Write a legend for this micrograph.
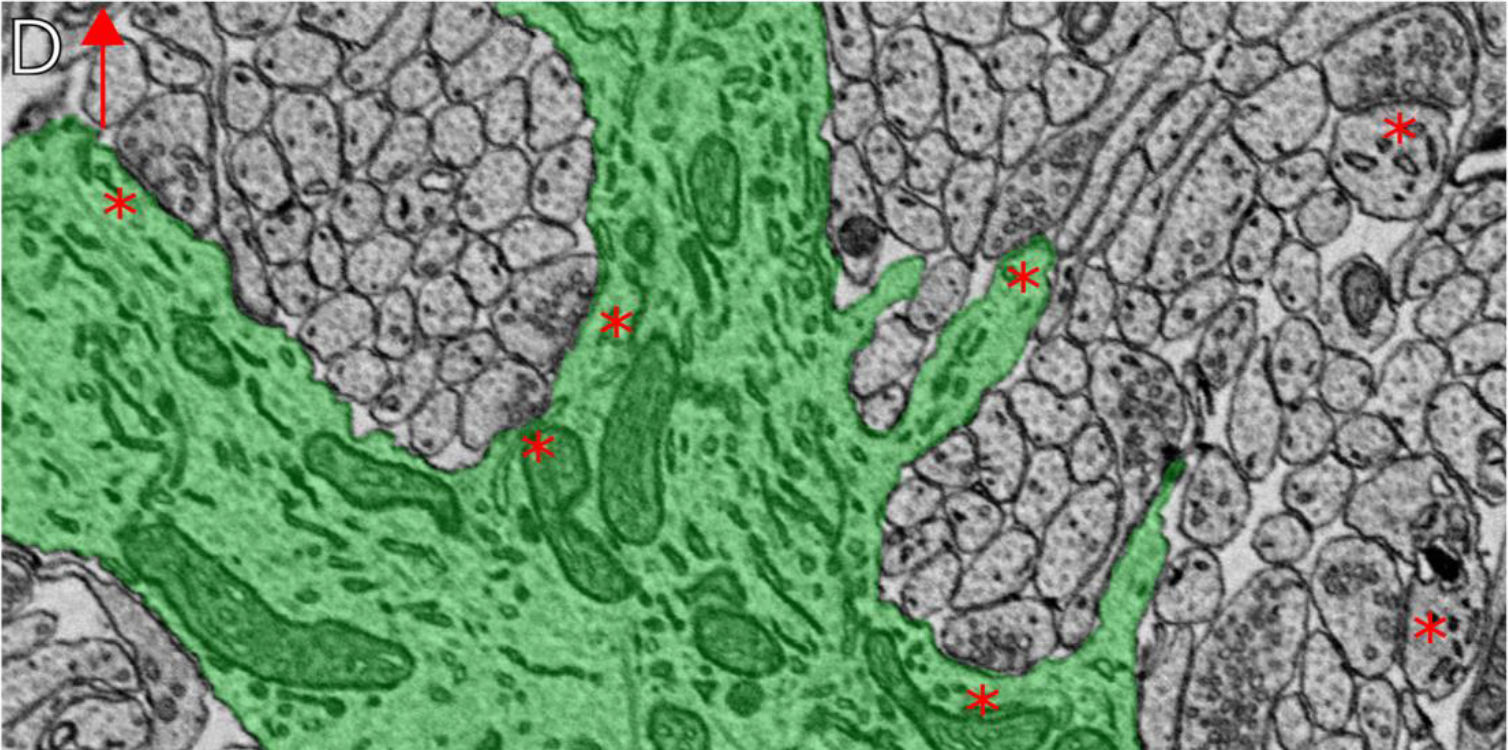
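The dendrite is broad and branching, its cytoplasm packed with elongated mitochondria and many tubular membrane profiles aligned along its length, and thin side branches reach out from it. Around it lie tightly packed small round profiles of neurites, some filled with clusters of small round vesicles, several of which contact the dendrite at synapses.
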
